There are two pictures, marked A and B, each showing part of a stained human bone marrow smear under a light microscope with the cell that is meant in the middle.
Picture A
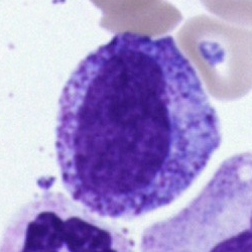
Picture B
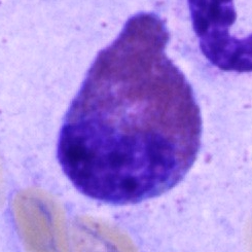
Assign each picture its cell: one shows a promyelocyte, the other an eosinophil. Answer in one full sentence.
In picture A the cell is a promyelocyte; in picture B, an eosinophil.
